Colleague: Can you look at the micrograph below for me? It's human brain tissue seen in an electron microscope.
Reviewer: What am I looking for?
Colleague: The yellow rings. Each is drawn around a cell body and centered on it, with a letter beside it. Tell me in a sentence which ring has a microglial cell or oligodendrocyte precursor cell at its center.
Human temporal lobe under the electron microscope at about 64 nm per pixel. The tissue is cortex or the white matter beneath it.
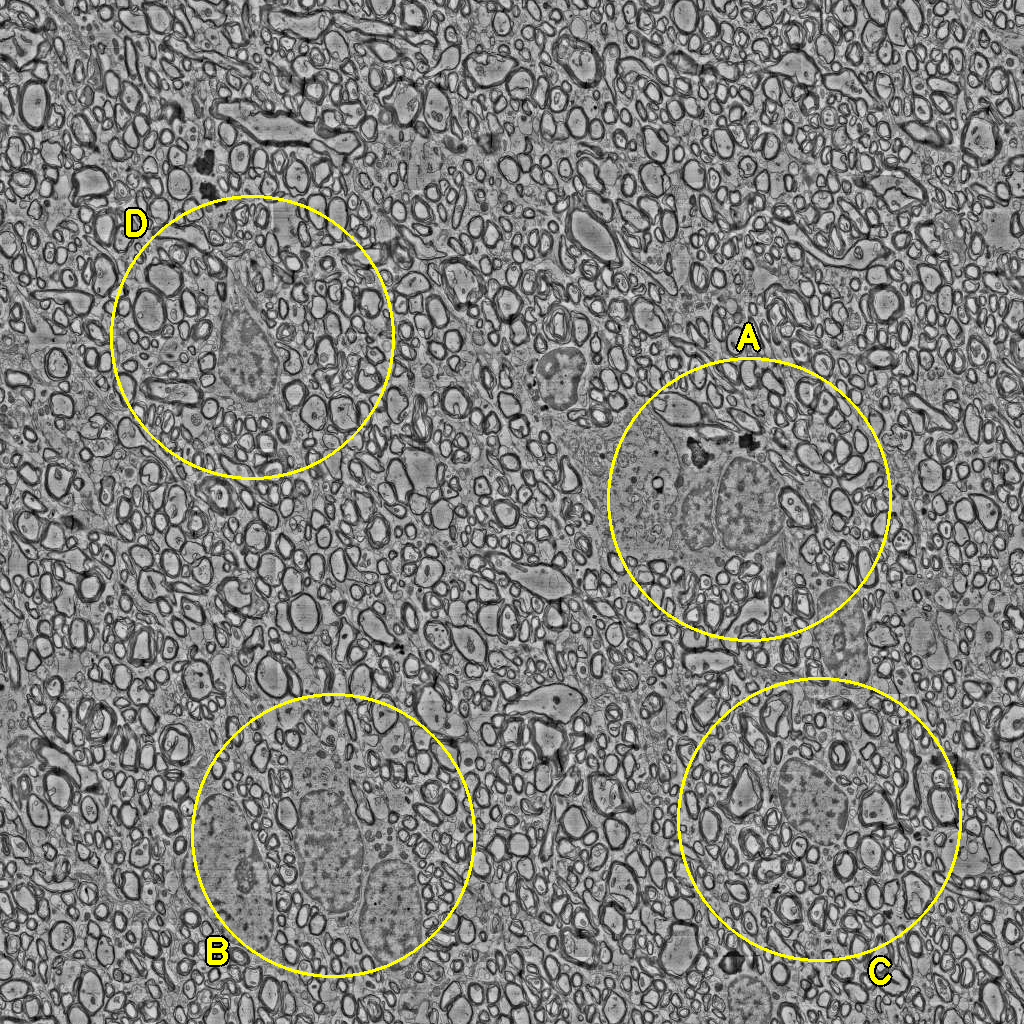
It's the cell in ring C.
